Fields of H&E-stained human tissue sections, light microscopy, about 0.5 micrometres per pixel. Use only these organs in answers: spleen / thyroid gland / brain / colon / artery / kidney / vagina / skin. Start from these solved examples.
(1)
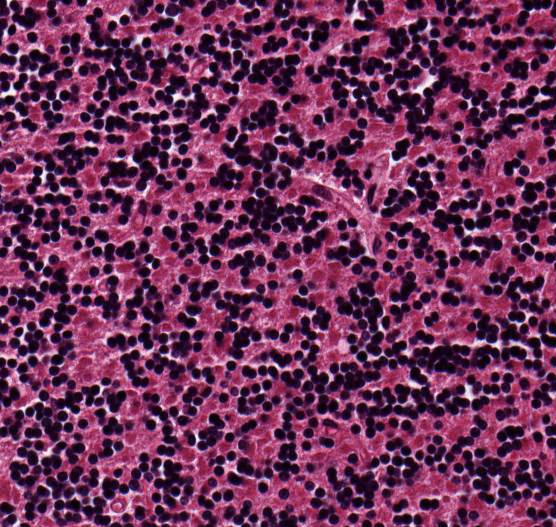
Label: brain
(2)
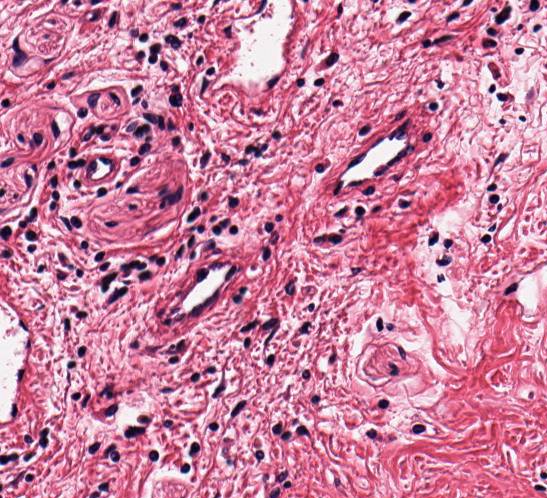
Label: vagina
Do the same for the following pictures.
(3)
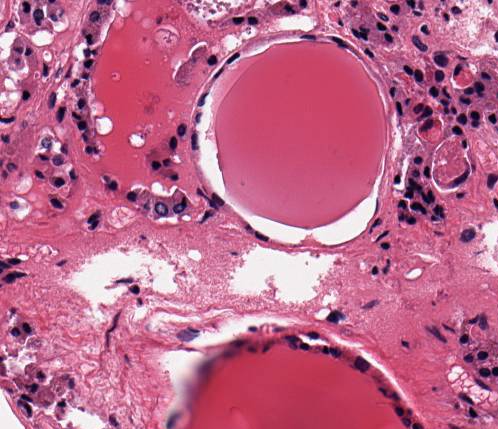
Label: thyroid gland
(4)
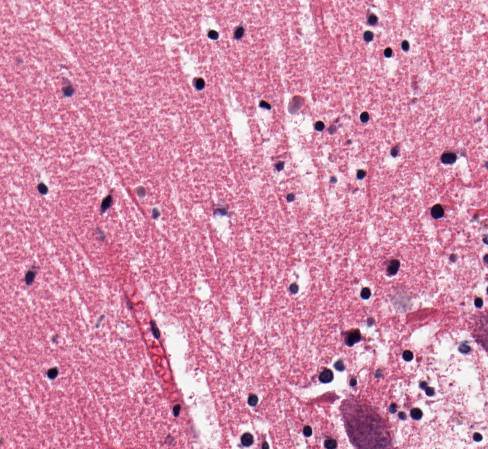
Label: brain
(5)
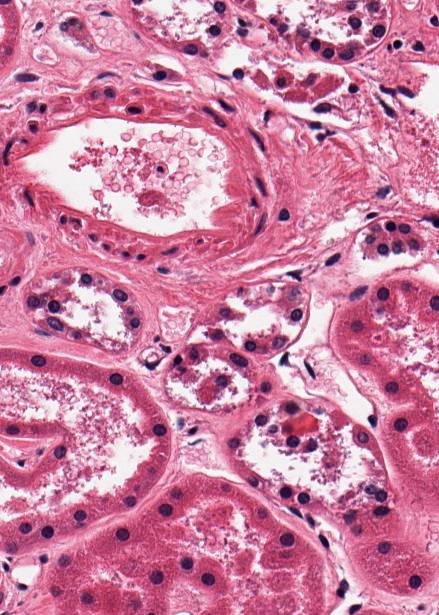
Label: kidney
